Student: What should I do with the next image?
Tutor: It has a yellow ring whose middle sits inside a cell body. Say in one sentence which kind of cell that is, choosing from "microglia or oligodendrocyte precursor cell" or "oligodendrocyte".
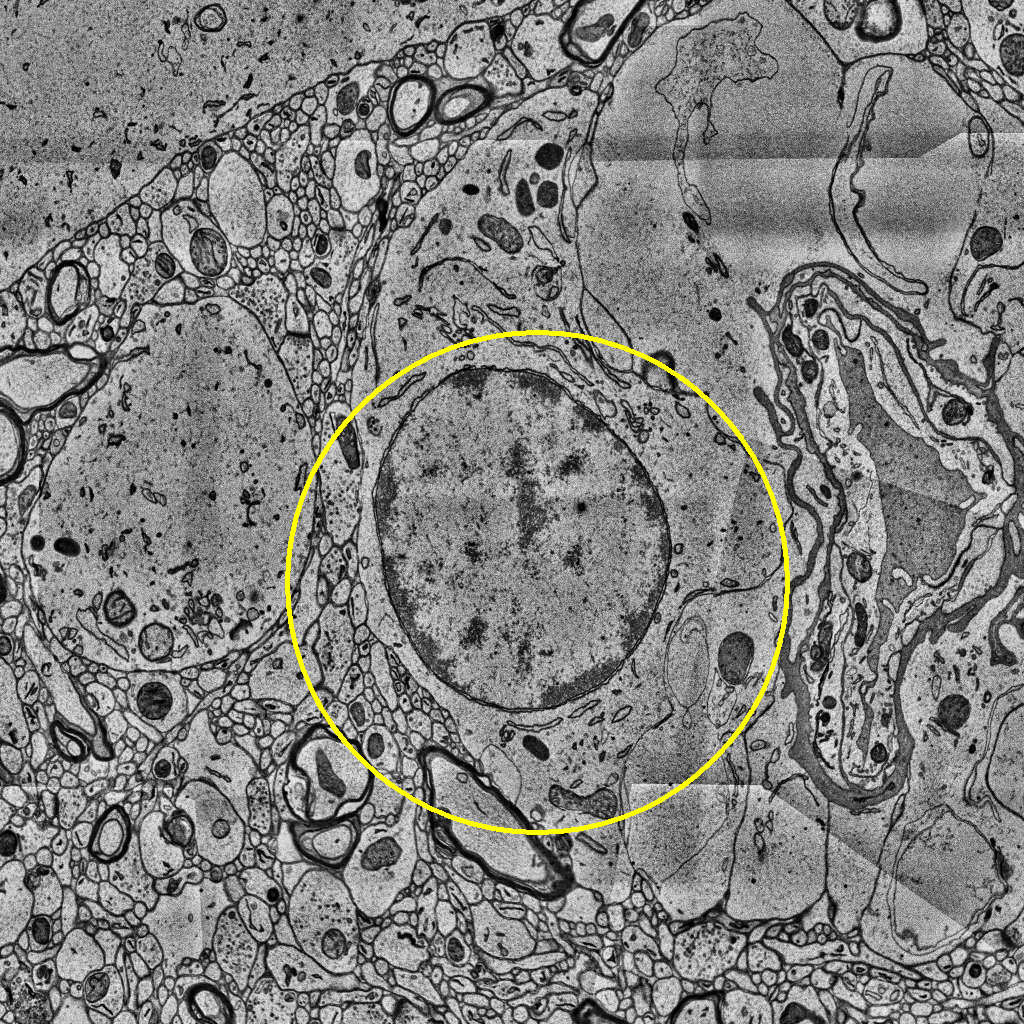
The ring's centre is occupied by a microglial cell or oligodendrocyte precursor cell.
